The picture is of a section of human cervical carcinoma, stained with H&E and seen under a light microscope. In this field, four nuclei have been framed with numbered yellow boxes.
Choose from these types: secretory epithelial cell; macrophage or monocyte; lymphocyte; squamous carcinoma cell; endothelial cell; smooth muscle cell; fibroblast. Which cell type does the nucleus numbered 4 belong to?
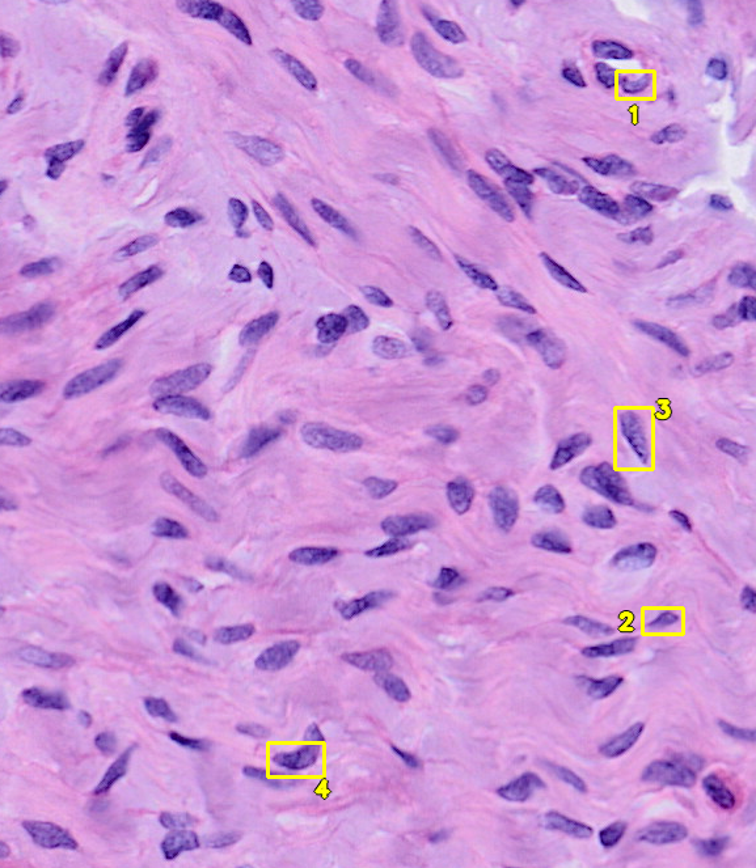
fibroblast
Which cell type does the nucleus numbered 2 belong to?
fibroblast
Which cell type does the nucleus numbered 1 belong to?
endothelial cell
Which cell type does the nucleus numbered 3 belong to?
fibroblast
